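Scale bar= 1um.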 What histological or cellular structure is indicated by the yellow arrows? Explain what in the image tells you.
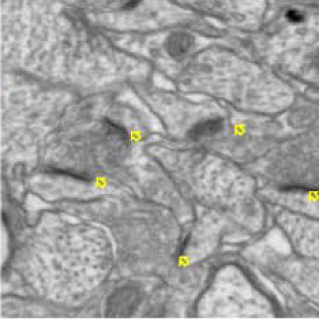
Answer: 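The arrows point at dark, electron-dense patches where two membrane profiles meet. That points to this answer: synapse.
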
